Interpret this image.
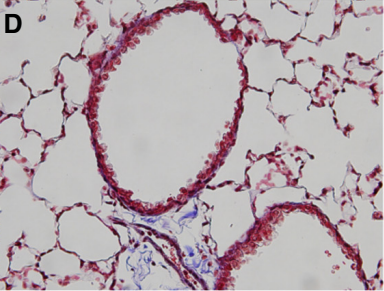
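This is lung tissue showing an airway surrounded by alveolar air spaces. The airway is round with a continuous lining of cuboidal to columnar epithelial cells stained red. Around it the alveoli are thin-walled and open, separated by delicate septa with scattered nuclei. Blue-stained connective tissue lies next to the airway wall, and part of a second airway is seen at the corner. There is no crowding of inflammatory cells and the architecture appears intact.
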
